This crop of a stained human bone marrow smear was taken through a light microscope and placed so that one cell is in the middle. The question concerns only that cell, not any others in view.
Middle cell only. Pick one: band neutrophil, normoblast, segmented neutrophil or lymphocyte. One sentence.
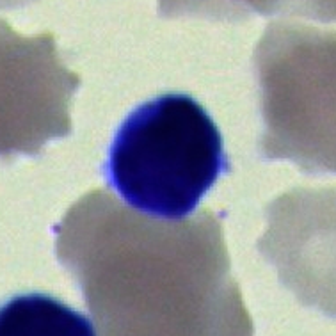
The centrally positioned cell in the crop represents a lymphocyte.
